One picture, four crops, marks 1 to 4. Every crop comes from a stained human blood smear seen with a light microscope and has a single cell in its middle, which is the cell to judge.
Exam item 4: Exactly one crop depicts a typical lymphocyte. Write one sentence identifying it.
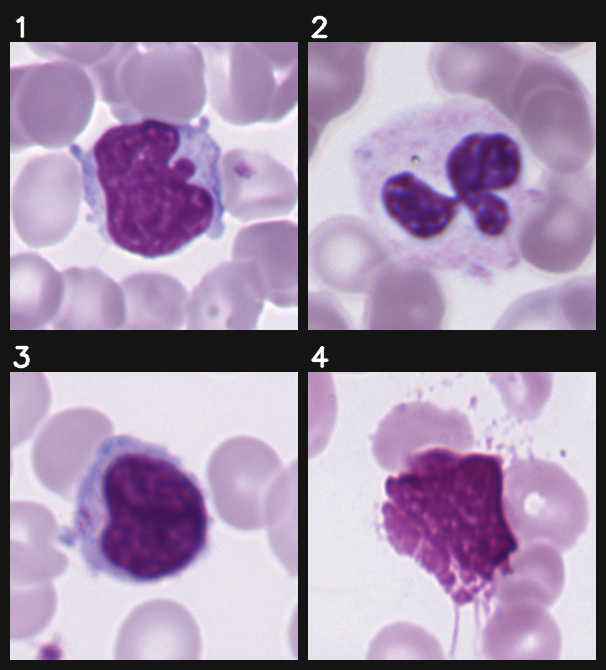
So the crop with a typical lymphocyte at its center is crop 1.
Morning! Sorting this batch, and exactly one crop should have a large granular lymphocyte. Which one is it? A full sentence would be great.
When the crops are compared, crop 3 is the one showing a large granular lymphocyte.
